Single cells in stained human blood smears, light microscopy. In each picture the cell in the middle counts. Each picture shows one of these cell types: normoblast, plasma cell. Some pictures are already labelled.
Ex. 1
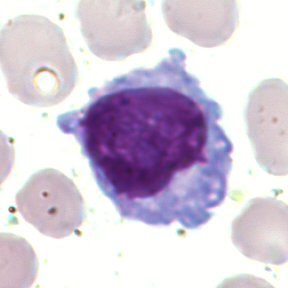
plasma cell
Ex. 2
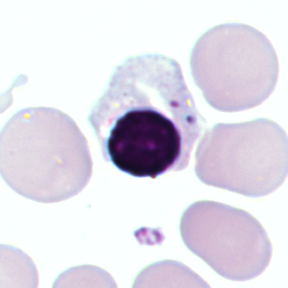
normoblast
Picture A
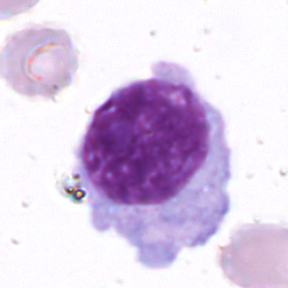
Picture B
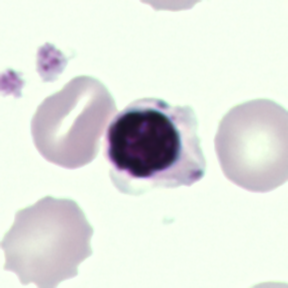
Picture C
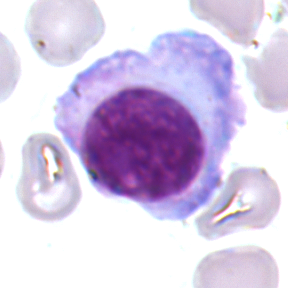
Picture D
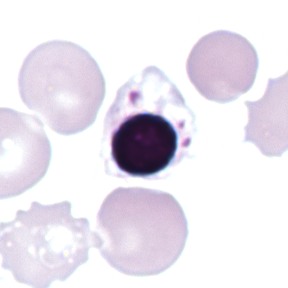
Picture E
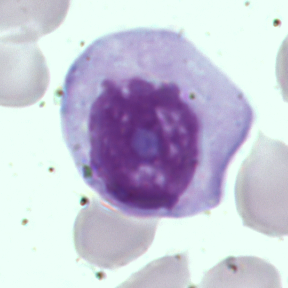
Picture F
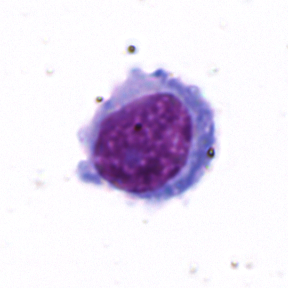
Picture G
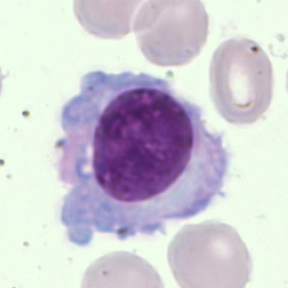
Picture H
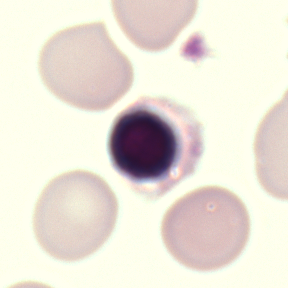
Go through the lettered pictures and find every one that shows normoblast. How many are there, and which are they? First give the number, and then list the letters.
Count: 3 (B, D, H)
